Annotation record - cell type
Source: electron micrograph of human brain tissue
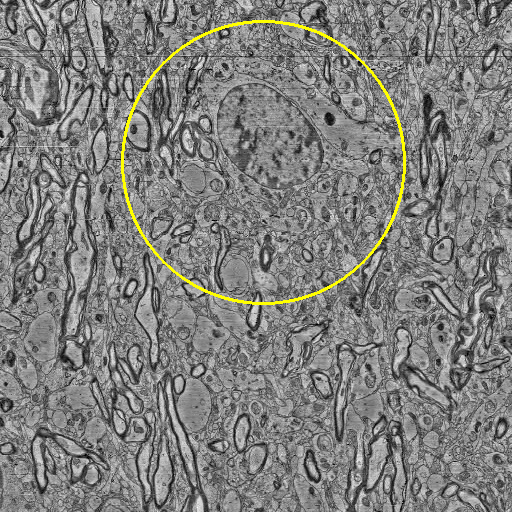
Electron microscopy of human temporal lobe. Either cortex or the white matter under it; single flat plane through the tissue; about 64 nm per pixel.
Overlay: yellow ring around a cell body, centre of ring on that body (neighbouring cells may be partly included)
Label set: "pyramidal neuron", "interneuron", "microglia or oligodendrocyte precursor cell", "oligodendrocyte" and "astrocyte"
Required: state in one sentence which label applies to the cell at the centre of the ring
This cell should be labelled as a microglial cell or oligodendrocyte precursor cell.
